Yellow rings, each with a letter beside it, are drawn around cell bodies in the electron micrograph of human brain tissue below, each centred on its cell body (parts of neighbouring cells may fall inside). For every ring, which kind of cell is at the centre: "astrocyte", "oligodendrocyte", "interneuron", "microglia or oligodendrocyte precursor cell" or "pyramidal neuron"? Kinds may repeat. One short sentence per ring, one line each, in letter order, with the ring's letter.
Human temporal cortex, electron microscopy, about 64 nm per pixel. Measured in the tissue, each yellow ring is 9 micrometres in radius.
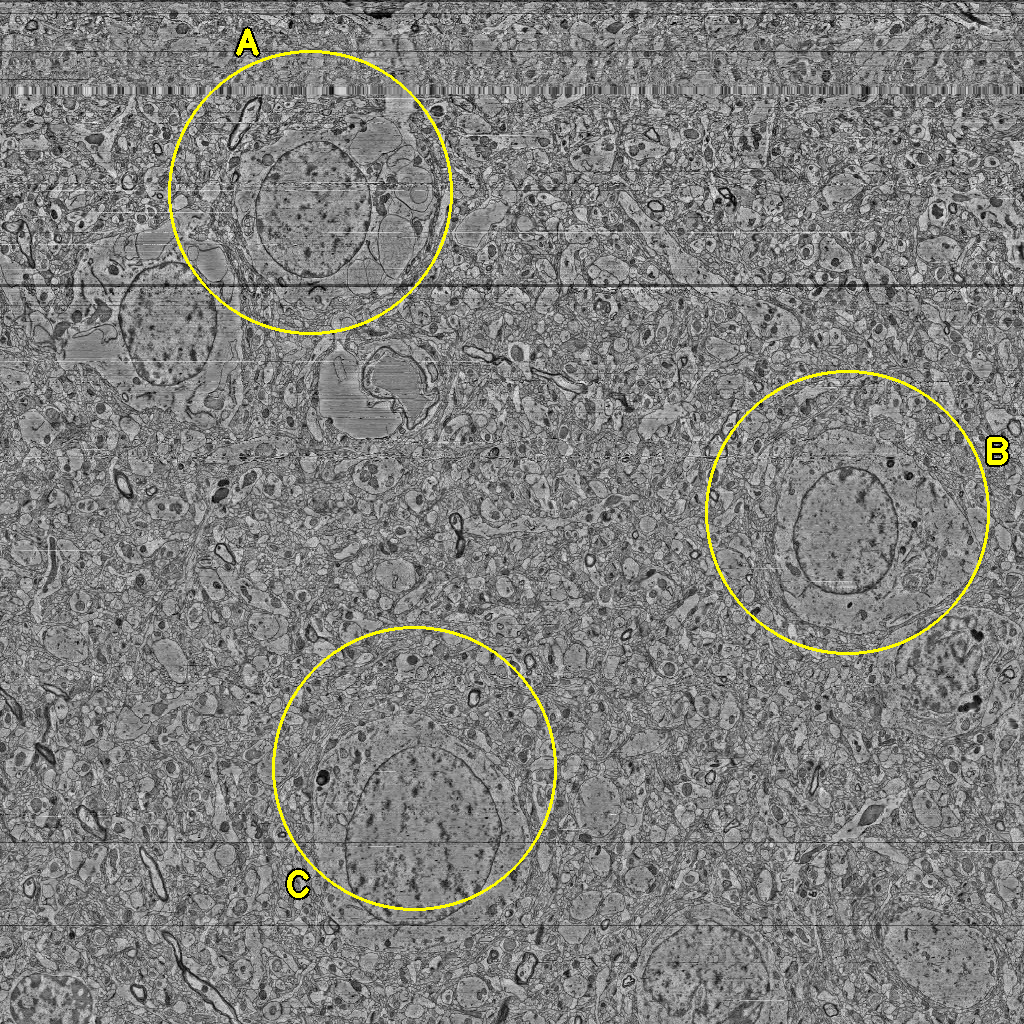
The cell in ring A is an astrocyte.
The cell in ring B is a pyramidal neuron.
The cell in ring C is a pyramidal neuron.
